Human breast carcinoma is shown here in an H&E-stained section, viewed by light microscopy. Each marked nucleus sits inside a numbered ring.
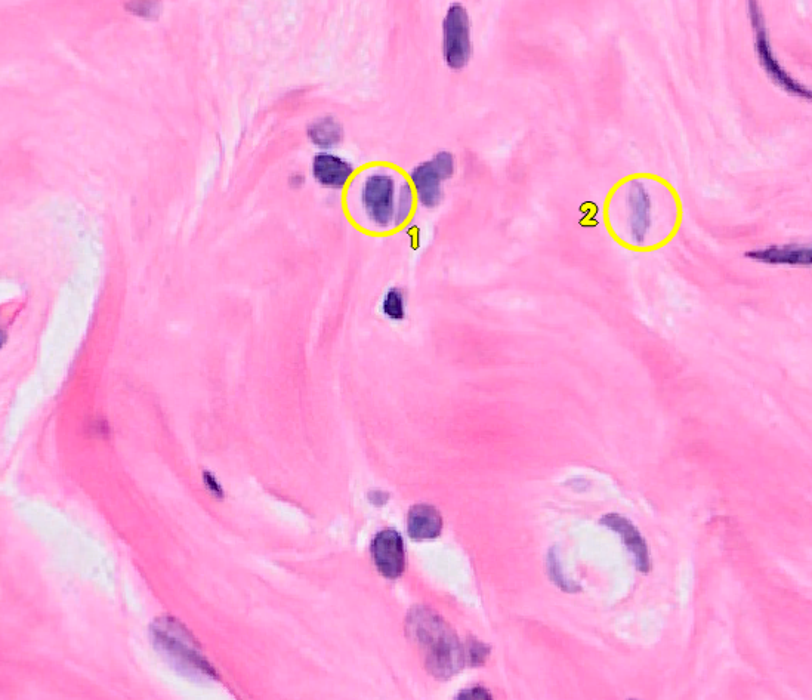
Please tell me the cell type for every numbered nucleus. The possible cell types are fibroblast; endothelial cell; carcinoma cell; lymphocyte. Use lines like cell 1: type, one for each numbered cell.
cell 1: lymphocyte
cell 2: fibroblast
